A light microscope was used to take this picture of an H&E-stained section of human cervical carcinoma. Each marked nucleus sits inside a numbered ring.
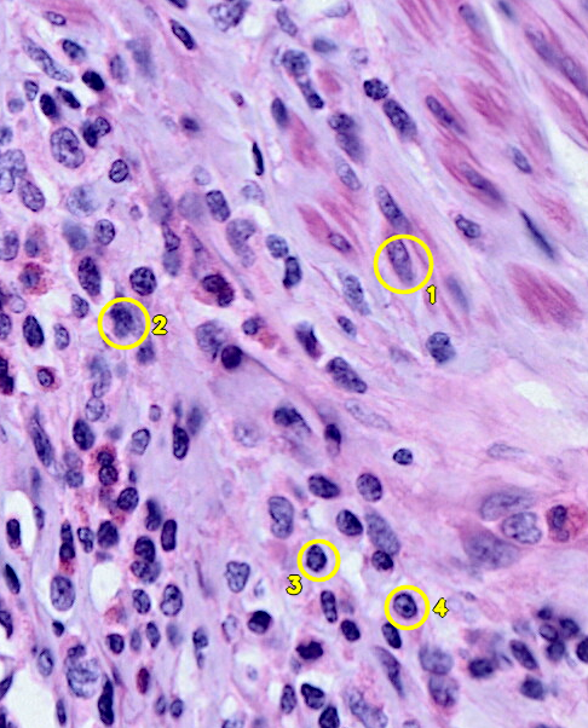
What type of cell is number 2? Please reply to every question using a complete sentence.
Regarding cell 2, this one is a lymphocyte.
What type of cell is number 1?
The cell identified by the number 1 is a smooth muscle cell.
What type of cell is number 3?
Cell number 3 in this section is a lymphocyte.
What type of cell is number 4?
The cell pointed out as number 4 is a lymphocyte.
